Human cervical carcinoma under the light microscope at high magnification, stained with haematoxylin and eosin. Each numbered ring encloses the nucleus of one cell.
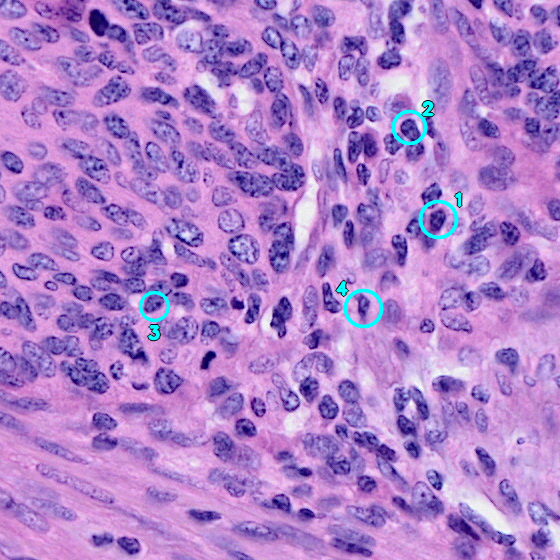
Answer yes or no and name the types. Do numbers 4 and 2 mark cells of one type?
Yes, cell 4 is counted among the lymphocytes, as is cell 2.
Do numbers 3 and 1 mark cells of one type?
No, a lymphocyte is what cell 1 is, while cell 3 is a squamous carcinoma cell.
